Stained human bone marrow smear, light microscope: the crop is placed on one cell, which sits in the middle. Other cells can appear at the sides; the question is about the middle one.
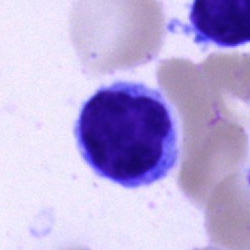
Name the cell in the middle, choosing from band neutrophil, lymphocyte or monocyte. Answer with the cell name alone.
lymphocyte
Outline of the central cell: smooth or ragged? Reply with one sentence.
The edge of the cell is unbroken and smooth, bearing no projections.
